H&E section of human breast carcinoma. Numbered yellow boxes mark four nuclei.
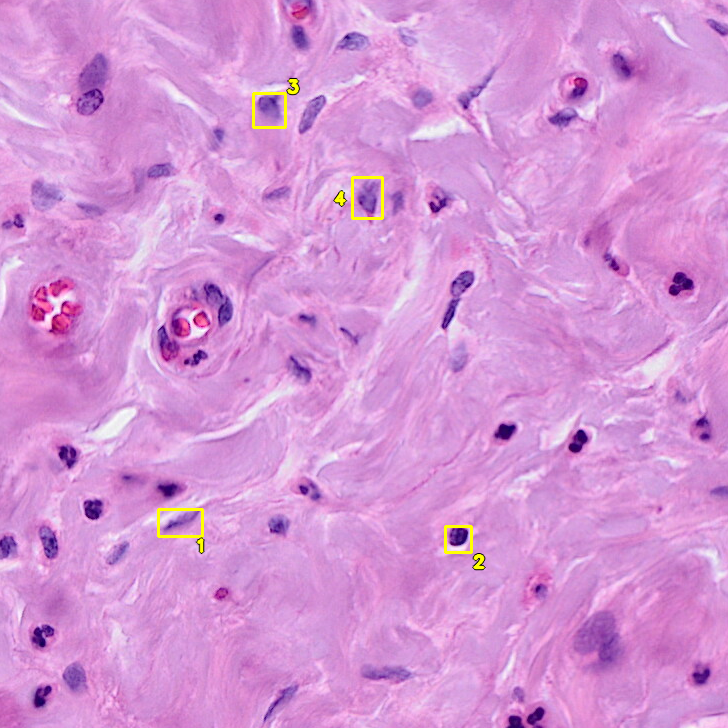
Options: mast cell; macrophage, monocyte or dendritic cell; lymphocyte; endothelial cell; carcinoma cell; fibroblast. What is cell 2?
lymphocyte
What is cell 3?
fibroblast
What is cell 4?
fibroblast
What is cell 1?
fibroblast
